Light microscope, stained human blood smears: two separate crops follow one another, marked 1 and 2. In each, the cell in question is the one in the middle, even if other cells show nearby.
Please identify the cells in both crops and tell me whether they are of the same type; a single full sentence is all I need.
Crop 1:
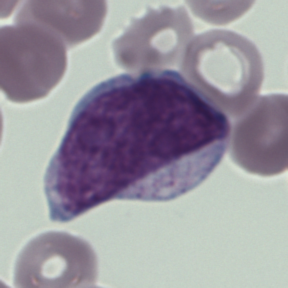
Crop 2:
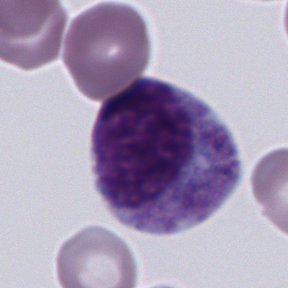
No, crop 1 shows an atypical promyelocyte, whereas a myelocyte is what crop 2 shows.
